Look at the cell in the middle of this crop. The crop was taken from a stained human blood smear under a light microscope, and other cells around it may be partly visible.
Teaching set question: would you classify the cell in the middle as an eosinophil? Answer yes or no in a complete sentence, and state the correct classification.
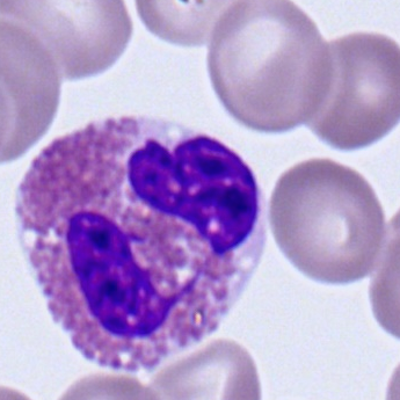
Yes, the cell in the central position is an eosinophil.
